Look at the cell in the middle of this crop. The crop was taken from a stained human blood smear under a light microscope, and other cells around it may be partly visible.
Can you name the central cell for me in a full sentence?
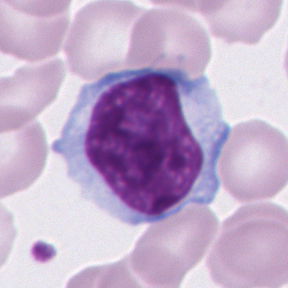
The centered cell in this crop is a lymphocyte.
